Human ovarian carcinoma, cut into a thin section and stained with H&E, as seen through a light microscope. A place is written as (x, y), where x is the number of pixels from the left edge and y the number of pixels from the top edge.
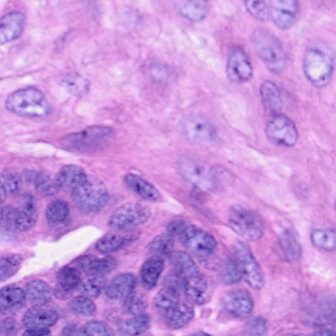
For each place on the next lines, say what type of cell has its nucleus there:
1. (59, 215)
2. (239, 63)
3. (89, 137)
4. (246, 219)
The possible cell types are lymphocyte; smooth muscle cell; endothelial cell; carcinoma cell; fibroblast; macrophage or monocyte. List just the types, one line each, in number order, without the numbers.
carcinoma cell
fibroblast
fibroblast
fibroblast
